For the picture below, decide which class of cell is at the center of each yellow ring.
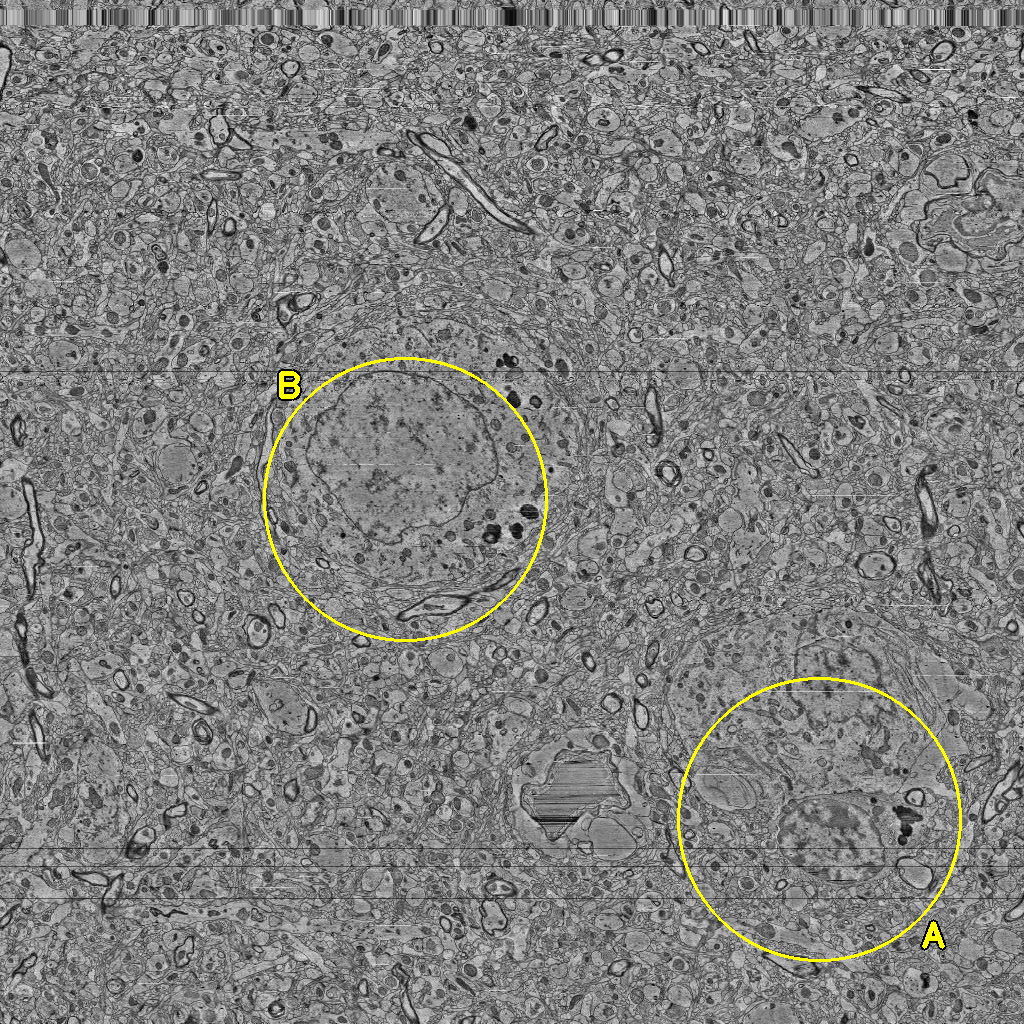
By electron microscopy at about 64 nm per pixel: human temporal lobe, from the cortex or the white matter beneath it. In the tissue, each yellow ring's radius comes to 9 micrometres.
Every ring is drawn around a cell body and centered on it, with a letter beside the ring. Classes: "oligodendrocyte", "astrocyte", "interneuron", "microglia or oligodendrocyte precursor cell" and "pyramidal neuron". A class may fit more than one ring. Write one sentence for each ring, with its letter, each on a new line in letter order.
Centered in ring A is an oligodendrocyte.
Centered in ring B is a pyramidal neuron.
